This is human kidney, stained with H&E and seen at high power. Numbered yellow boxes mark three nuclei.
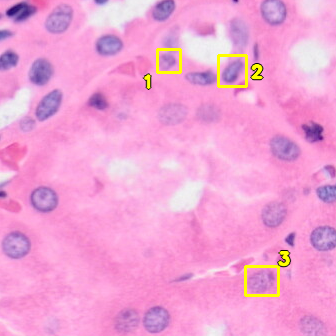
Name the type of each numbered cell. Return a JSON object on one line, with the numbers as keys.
{"1": "collecting duct cell", "2": "collecting duct cell", "3": "proximal tubule cell"}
